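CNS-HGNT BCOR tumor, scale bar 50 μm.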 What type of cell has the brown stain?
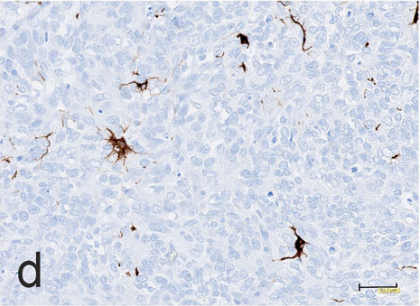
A: Reactive astrocytes.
